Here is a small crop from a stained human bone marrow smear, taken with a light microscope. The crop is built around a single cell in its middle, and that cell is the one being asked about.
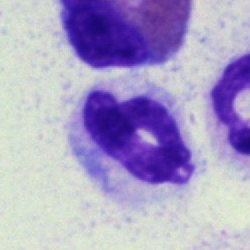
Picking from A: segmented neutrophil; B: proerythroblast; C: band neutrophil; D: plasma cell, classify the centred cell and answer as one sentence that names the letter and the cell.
The cell occupying the centre is a segmented neutrophil; option A is thus the correct choice.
